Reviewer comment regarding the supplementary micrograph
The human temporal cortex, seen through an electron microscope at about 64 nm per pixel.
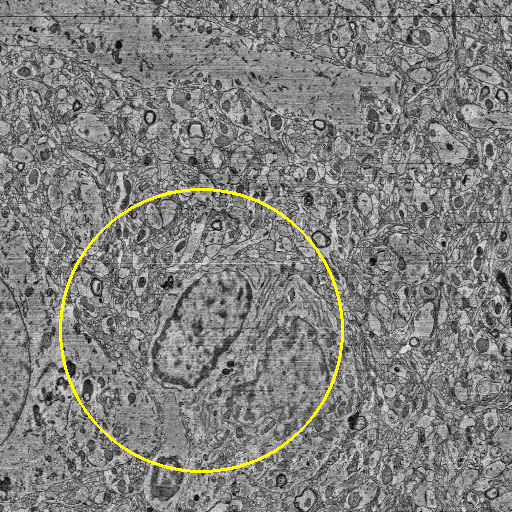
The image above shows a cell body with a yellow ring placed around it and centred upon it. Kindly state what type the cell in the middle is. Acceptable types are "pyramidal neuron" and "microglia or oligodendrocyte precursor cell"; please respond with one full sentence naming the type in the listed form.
In the image above, the cell on which the yellow ring is centred is a microglial cell or oligodendrocyte precursor cell.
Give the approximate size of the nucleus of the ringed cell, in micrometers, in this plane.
The nucleus comes to roughly 8 by 4 micrometres in this plane.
